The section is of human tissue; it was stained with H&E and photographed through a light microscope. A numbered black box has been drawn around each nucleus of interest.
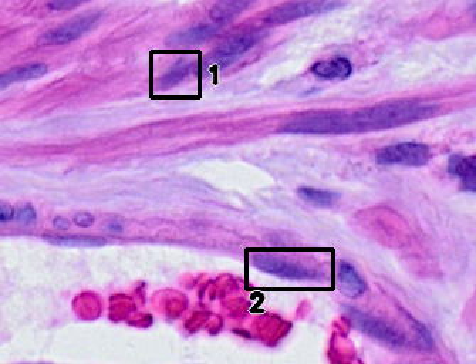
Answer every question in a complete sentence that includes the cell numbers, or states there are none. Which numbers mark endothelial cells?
Just one of the numbered cells is an endothelial cell, namely number 2.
